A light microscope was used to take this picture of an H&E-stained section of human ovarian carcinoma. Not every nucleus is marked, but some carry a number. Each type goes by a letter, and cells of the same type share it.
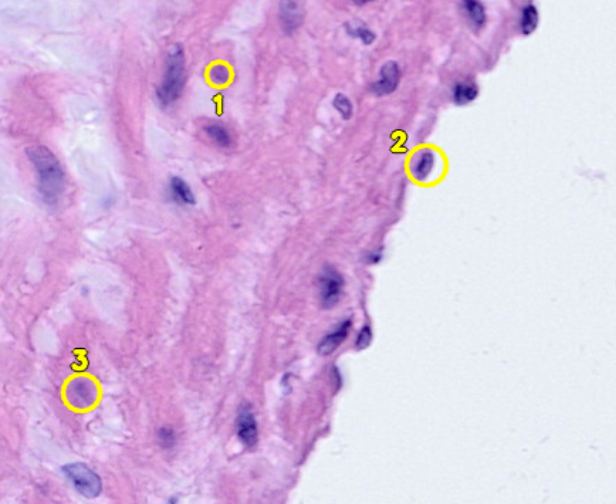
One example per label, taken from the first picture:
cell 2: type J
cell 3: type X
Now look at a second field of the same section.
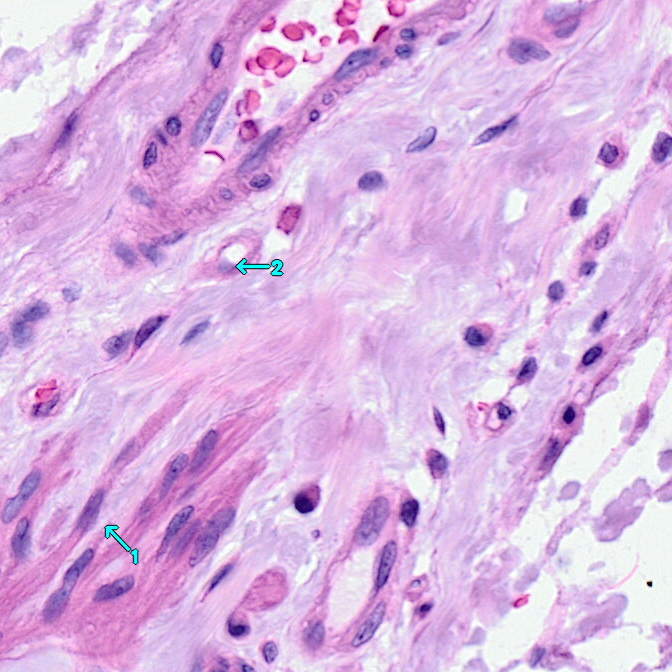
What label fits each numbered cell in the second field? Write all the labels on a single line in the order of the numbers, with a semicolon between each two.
type X; type J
